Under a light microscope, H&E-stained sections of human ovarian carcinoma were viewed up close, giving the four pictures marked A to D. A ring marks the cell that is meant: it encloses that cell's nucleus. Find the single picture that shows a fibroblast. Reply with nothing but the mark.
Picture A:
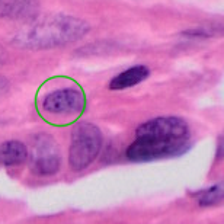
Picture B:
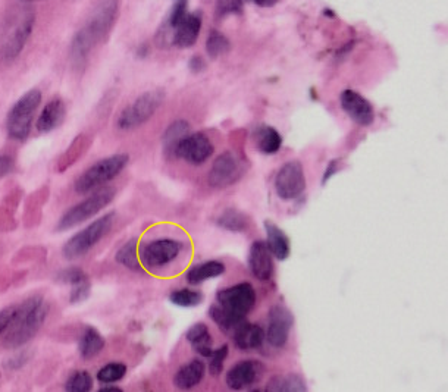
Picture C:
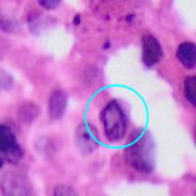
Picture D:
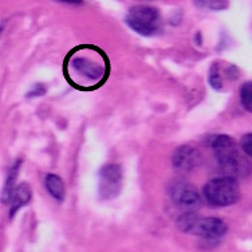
D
